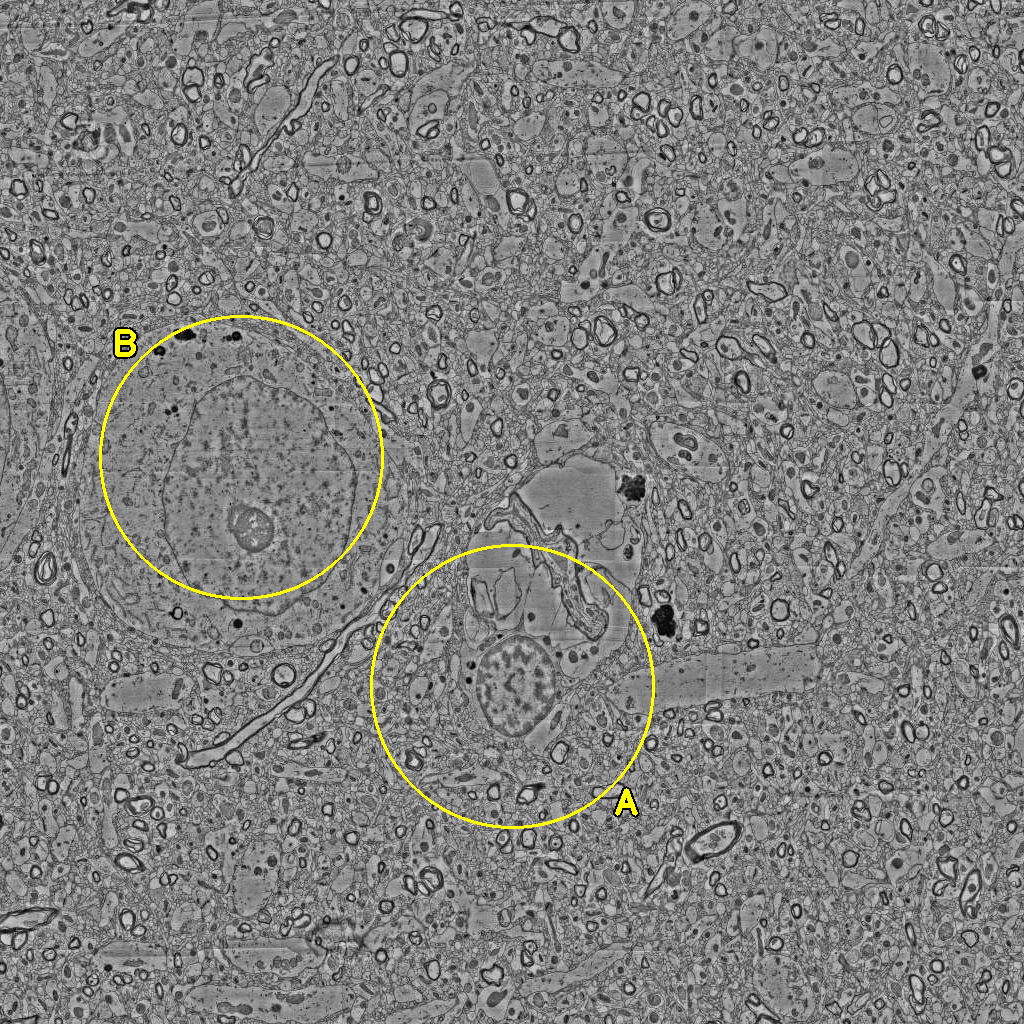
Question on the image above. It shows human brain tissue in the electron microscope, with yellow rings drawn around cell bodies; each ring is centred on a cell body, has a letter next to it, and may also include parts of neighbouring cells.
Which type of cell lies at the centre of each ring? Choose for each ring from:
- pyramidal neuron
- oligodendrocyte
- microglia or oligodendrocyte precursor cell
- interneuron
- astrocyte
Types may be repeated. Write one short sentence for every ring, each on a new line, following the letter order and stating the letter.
Ring A has been drawn around an oligodendrocyte.
Ring B has been drawn around a pyramidal neuron.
